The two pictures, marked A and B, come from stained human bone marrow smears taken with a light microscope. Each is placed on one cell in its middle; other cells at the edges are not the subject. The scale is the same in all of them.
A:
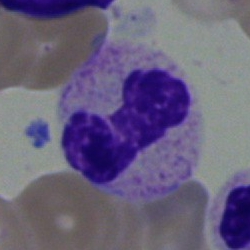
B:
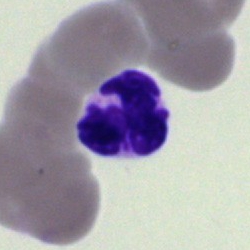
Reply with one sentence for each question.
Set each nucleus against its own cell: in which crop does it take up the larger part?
The nucleus fills more of the cell in crop B than in crop A.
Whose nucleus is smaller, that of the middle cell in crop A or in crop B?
It is the nucleus in crop B; the one in crop A has about 1.5 times its area.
